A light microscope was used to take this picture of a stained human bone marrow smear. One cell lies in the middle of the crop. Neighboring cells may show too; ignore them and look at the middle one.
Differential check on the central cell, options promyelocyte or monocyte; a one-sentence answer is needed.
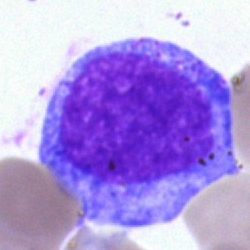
As for the cell in the middle, it is a promyelocyte.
